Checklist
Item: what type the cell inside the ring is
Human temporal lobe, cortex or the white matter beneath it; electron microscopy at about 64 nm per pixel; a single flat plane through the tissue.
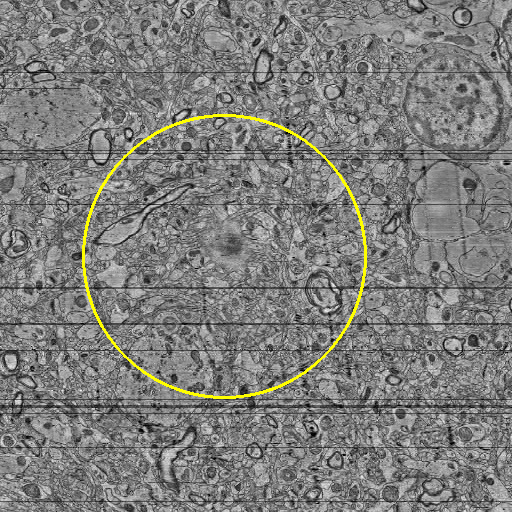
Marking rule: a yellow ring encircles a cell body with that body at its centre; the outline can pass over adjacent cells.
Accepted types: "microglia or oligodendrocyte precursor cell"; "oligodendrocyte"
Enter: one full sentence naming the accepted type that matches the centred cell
The entry is that an oligodendrocyte lies at the centre of the yellow ring.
